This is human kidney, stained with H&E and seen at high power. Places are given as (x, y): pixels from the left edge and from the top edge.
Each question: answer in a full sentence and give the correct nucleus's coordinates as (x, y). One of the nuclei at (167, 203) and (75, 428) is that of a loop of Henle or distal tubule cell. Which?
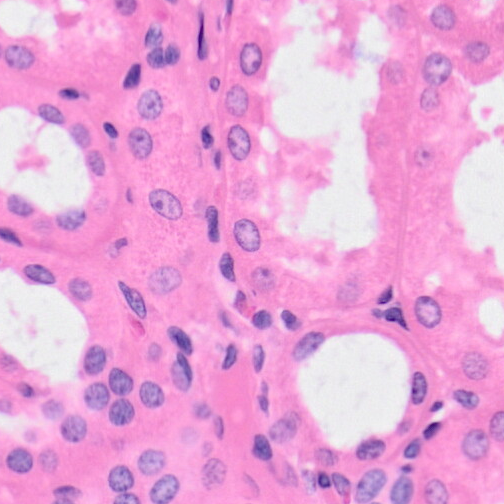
Lying within a loop of Henle or distal tubule cell is the nucleus at (75, 428).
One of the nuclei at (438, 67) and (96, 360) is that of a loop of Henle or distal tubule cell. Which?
Of the pair, the nucleus located at (96, 360) belongs to a loop of Henle or distal tubule cell.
